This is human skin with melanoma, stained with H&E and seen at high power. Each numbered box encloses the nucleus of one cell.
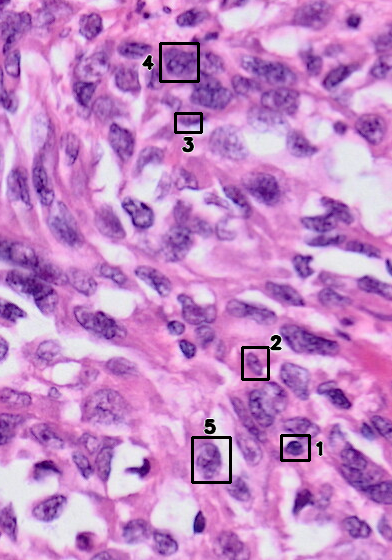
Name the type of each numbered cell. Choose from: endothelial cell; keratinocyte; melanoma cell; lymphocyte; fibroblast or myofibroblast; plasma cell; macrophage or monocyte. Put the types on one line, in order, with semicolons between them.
lymphocyte; macrophage or monocyte; melanoma cell; melanoma cell; melanoma cell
